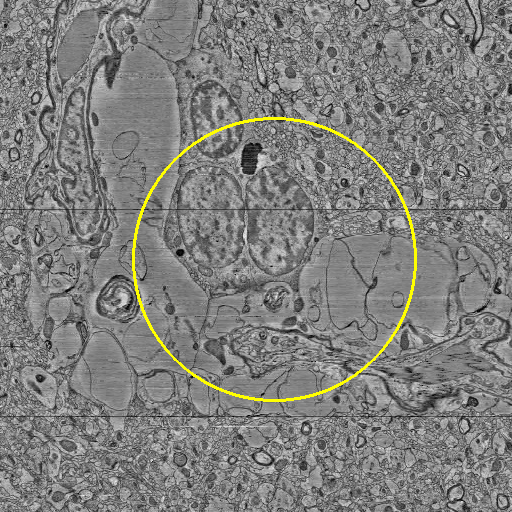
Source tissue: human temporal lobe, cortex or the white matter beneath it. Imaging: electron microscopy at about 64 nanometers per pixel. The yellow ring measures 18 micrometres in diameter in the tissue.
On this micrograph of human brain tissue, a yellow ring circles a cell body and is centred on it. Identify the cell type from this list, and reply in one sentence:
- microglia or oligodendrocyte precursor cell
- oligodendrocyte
The cell at the centre is an oligodendrocyte.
